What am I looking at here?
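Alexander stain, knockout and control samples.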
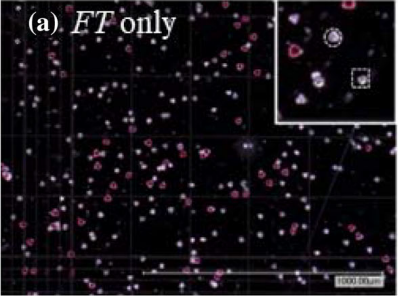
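This field shows many separate pollen grains spread over a dark background. A good share of them show a red to magenta ring around their outline, while others look pale grey or white without red. The enlarged inset shows a red-ringed grain beside a pale grain, making the difference in staining easy to compare.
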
